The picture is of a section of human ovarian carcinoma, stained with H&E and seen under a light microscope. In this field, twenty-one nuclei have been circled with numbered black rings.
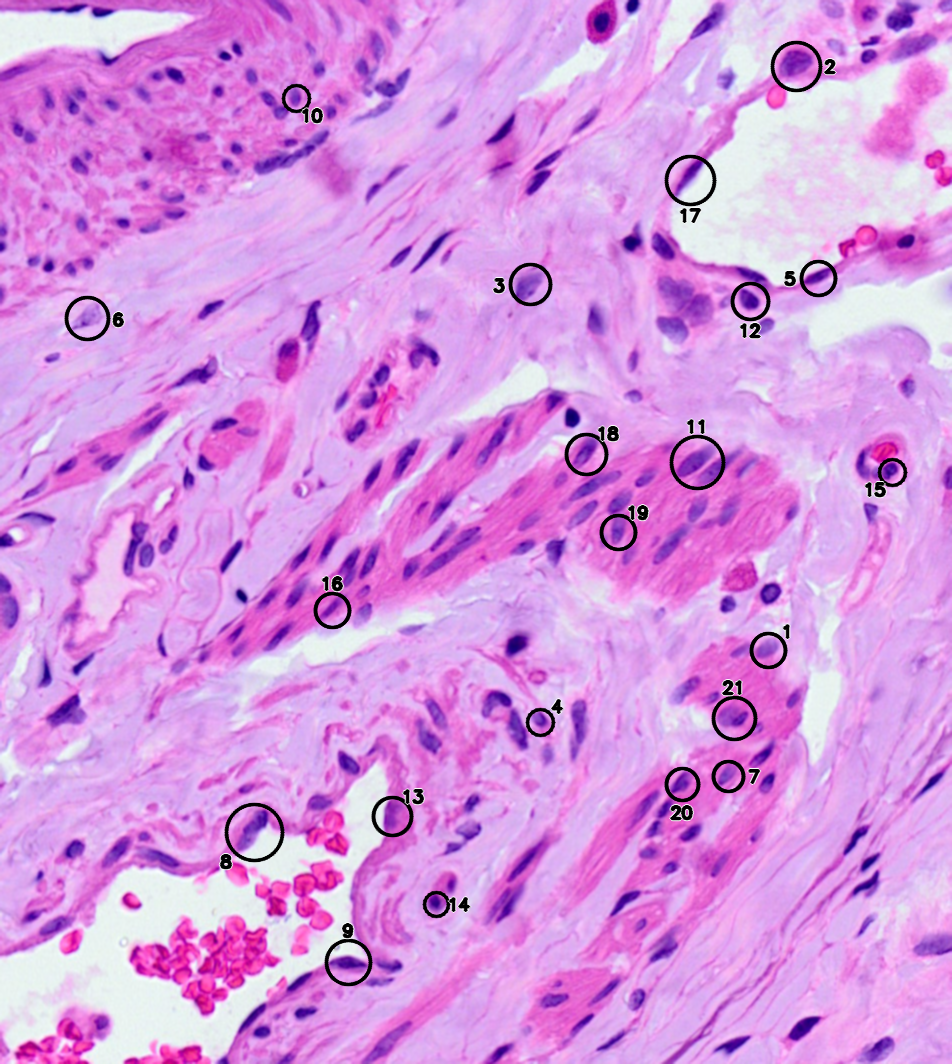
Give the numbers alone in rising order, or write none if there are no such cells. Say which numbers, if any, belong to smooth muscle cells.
1, 4, 7, 10, 11, 14, 16, 18, 19, 20, 21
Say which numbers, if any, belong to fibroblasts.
3, 6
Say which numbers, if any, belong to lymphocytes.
12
